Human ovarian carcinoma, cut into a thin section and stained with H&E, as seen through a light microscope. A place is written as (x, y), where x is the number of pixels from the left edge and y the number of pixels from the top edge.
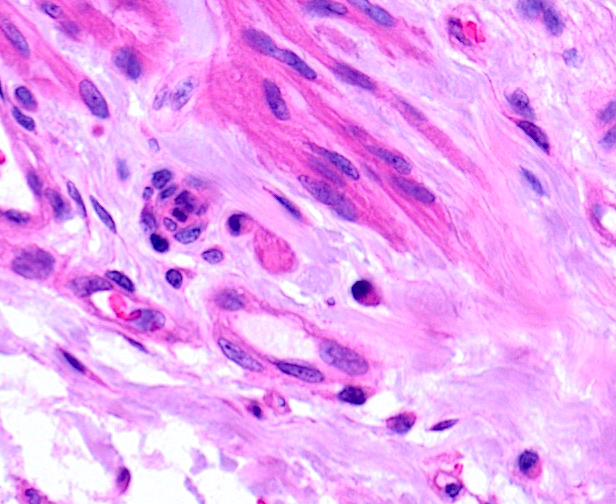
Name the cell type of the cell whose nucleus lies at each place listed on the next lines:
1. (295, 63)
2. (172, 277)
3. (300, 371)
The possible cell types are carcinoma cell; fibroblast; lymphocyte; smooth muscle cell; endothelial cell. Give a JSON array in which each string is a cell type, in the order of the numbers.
["smooth muscle cell", "lymphocyte", "endothelial cell"]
